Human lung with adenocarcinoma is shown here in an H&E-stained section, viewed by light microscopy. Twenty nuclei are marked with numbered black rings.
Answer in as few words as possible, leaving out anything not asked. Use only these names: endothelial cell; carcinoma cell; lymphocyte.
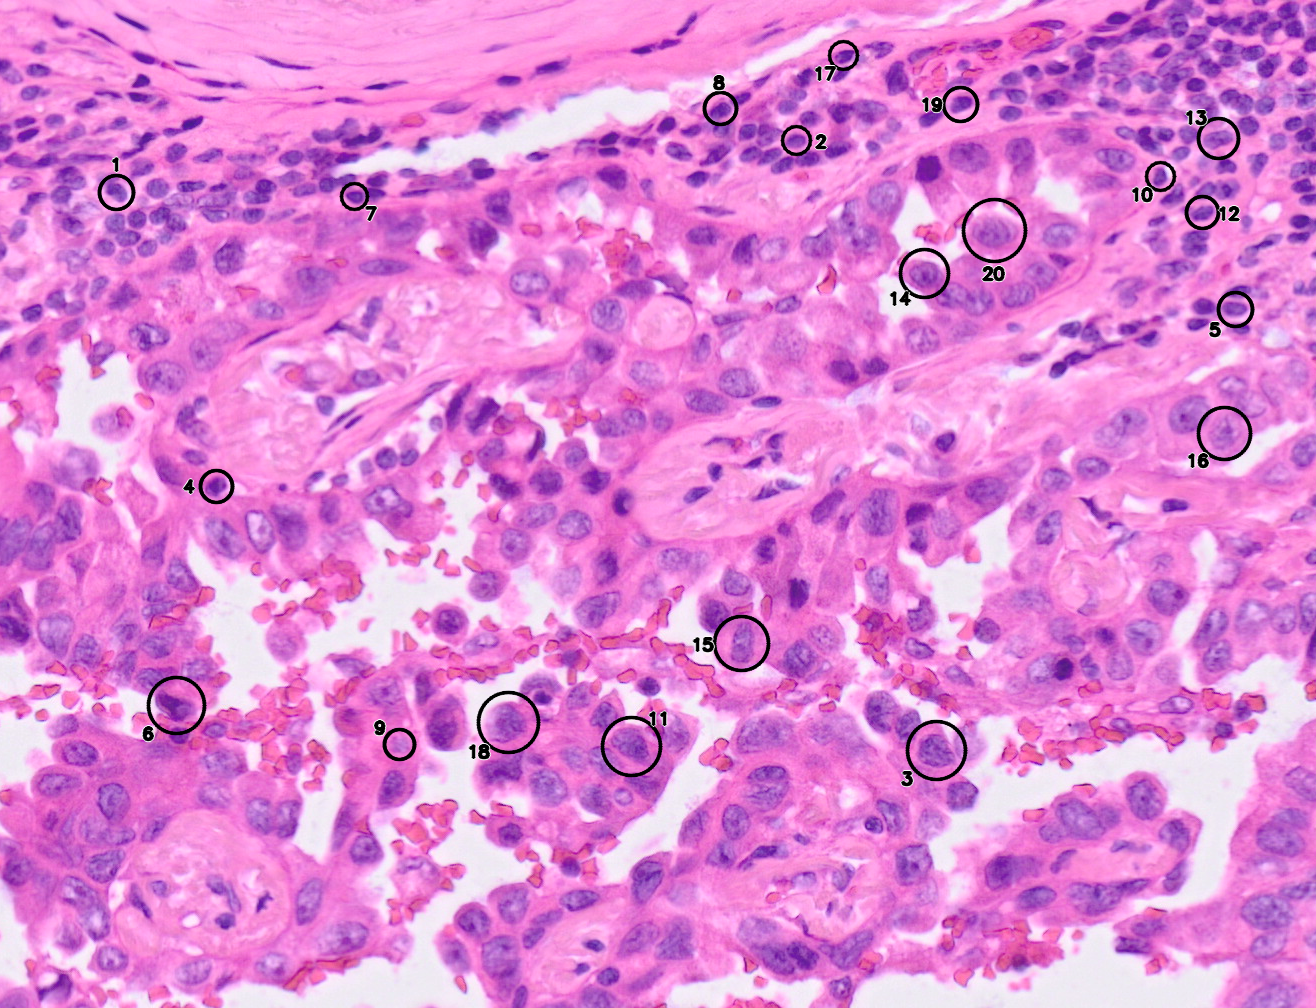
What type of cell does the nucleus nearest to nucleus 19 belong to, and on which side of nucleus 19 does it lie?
an endothelial cell above nucleus 19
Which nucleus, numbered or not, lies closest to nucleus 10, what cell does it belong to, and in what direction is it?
a lymphocyte below and to the right of nucleus 10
